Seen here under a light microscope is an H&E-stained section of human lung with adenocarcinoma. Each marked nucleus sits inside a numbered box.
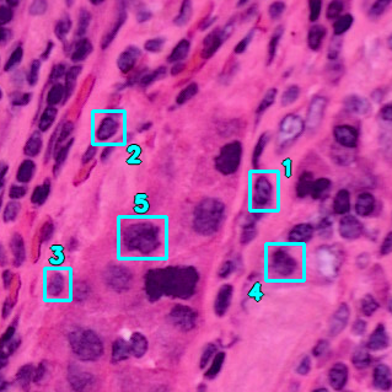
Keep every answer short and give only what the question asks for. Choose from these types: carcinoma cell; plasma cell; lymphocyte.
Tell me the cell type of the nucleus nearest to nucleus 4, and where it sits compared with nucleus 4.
a lymphocyte; above and to the right of nucleus 4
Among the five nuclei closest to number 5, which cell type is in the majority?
carcinoma cell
